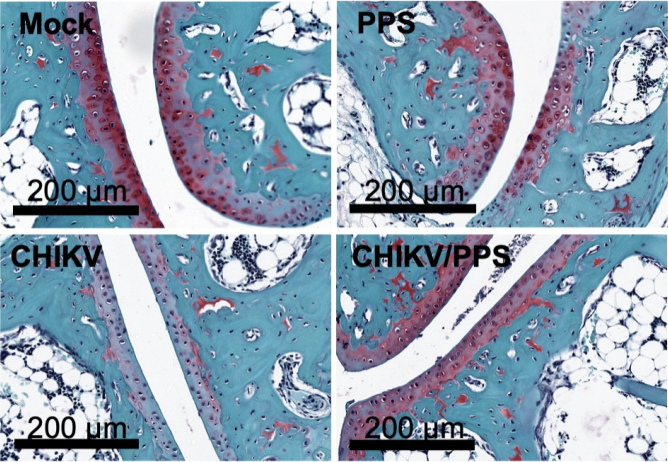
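These four fields show the articular cartilage of a small joint, where two bone ends face each other across a narrow white joint space. Beneath the cartilage lies blue-green bone, and spaces within the bone hold marrow with large empty-looking fat cells among clusters of small dark blood-forming cells. In one of the four fields the red of the cartilage is much paler and thinner than in the others, showing a loss of the stained matrix.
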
